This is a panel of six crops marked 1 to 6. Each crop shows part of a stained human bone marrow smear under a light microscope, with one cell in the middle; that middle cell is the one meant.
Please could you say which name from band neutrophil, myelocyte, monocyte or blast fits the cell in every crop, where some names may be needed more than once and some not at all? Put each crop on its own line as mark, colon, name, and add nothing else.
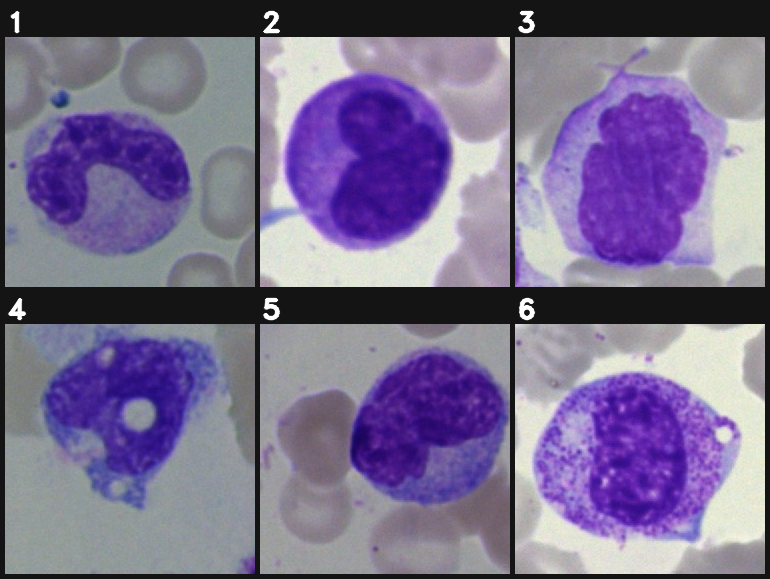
1: band neutrophil
2: monocyte
3: monocyte
4: monocyte
5: monocyte
6: myelocyte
